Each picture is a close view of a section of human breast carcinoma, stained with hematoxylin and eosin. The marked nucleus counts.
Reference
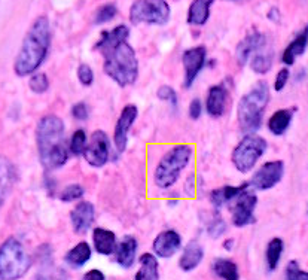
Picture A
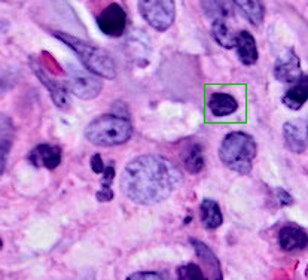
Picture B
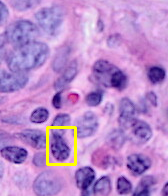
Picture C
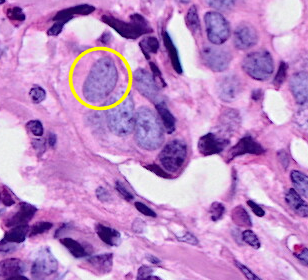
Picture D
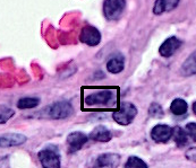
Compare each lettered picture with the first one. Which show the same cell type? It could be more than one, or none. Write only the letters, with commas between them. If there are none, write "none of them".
none of them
